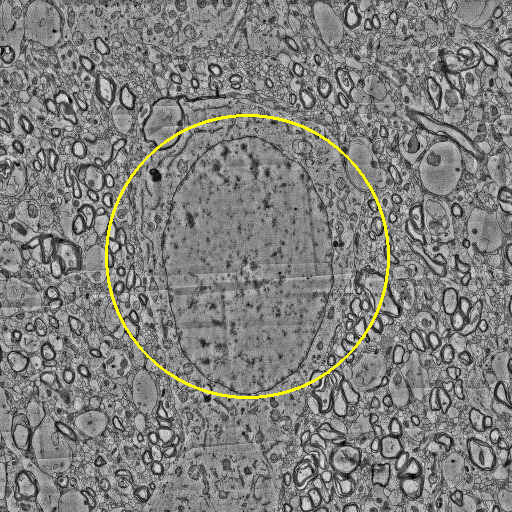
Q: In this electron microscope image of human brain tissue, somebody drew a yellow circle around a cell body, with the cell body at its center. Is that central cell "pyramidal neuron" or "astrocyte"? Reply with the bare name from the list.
pyramidal neuron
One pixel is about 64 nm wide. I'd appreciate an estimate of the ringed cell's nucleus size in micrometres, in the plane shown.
The nucleus comes to roughly 17 by 11 micrometres in this plane.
